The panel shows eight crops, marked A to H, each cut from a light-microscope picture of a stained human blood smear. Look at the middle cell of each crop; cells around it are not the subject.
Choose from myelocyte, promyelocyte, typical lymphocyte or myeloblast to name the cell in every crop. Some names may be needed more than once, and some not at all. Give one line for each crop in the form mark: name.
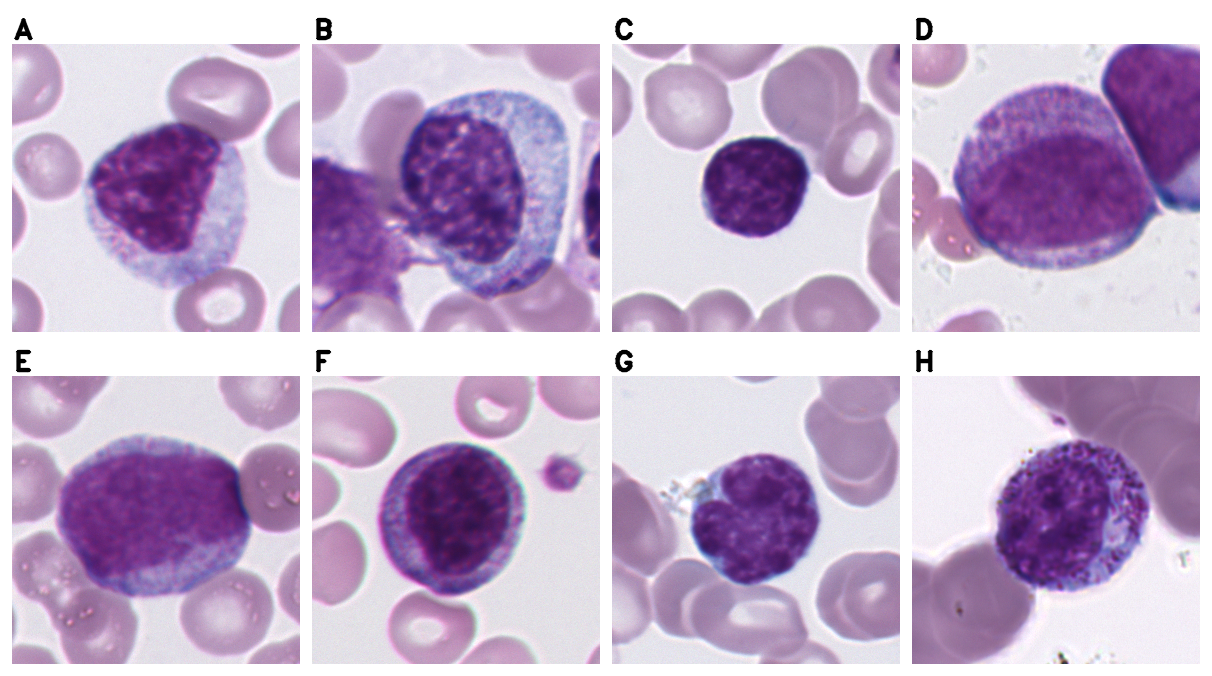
A: myelocyte
B: promyelocyte
C: typical lymphocyte
D: promyelocyte
E: promyelocyte
F: myelocyte
G: myeloblast
H: promyelocyte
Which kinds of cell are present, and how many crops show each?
promyelocyte: 4
myelocyte: 2
typical lymphocyte: 1
myeloblast: 1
